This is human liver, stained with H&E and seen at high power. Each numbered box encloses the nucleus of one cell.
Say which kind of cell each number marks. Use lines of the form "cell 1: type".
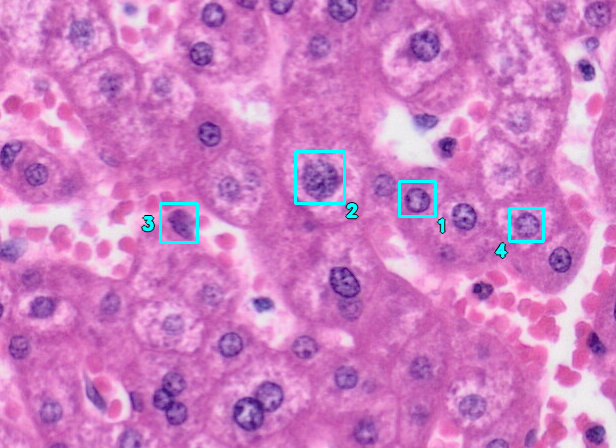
cell 1: hepatocyte
cell 2: hepatocyte
cell 3: endothelial cell
cell 4: hepatocyte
